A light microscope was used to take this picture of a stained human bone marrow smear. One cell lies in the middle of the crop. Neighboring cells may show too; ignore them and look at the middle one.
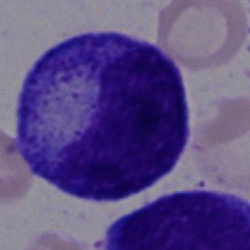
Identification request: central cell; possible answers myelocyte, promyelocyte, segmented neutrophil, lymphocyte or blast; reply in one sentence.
Regarding the central cell, it is a promyelocyte.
